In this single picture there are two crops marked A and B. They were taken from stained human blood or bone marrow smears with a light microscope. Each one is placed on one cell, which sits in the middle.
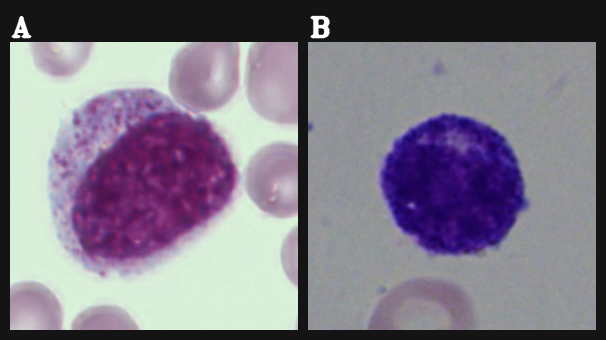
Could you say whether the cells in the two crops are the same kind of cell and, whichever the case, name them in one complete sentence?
Yes, the cells that the two crops centre on are myelocytes.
